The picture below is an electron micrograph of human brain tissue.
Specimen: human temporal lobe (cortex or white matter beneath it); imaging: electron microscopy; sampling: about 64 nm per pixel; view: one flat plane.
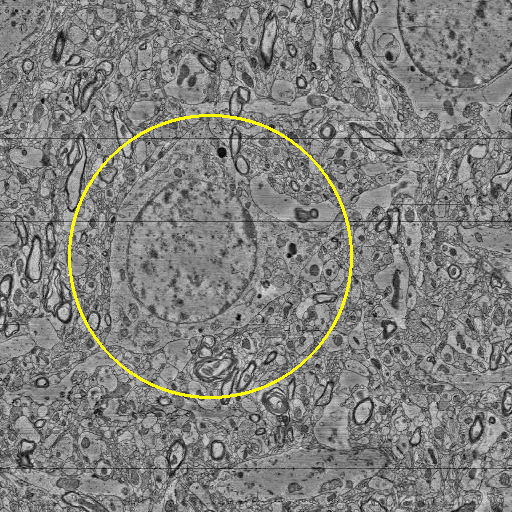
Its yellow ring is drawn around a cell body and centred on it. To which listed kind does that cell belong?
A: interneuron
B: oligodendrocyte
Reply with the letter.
A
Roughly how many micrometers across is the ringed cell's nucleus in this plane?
The ringed cell's nucleus is about 9 micrometres across in this plane.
